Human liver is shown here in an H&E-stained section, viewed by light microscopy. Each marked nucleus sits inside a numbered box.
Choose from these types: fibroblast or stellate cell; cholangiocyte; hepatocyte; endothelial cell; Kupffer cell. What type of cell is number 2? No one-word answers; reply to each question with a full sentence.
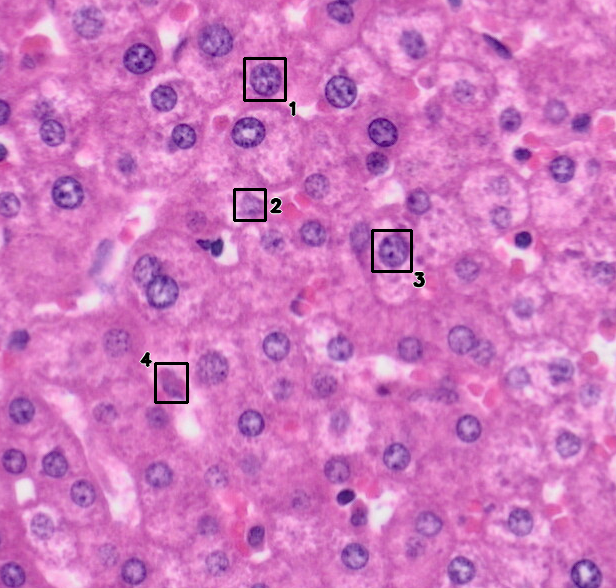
In the marked set, the cell given number 2 is a hepatocyte.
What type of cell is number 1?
Cell 1 in the field of view is a hepatocyte.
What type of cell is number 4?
Looking at the numbered marks, cell 4 is a Kupffer cell.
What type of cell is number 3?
Here, the cell given the number 3 is a hepatocyte.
